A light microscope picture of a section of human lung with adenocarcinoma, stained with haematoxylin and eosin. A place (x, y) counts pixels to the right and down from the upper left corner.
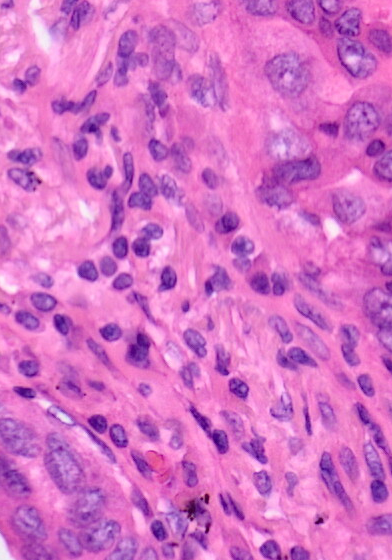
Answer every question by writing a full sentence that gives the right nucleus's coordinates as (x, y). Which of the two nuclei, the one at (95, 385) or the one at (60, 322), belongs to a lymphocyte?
The nucleus at position (60, 322) belongs to a lymphocyte.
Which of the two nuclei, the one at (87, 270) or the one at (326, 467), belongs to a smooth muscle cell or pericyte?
Of the pair, the nucleus positioned at (326, 467) is that of a smooth muscle cell or pericyte.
